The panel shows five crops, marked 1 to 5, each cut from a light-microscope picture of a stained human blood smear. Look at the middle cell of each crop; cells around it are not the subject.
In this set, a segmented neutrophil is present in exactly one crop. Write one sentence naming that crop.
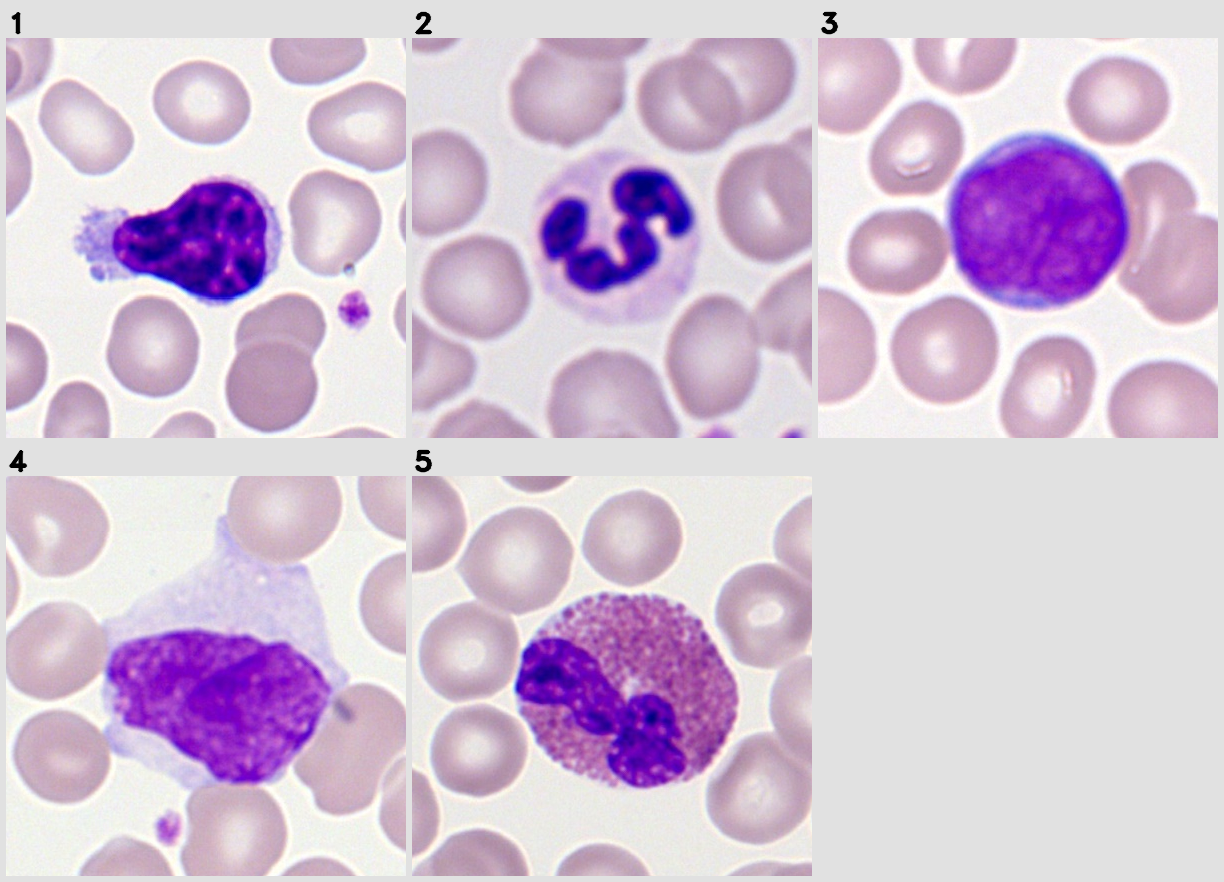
Crop 2 alone, of all the crops, shows a segmented neutrophil.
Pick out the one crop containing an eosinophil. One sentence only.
It is the cell in crop 5 that is an eosinophil.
